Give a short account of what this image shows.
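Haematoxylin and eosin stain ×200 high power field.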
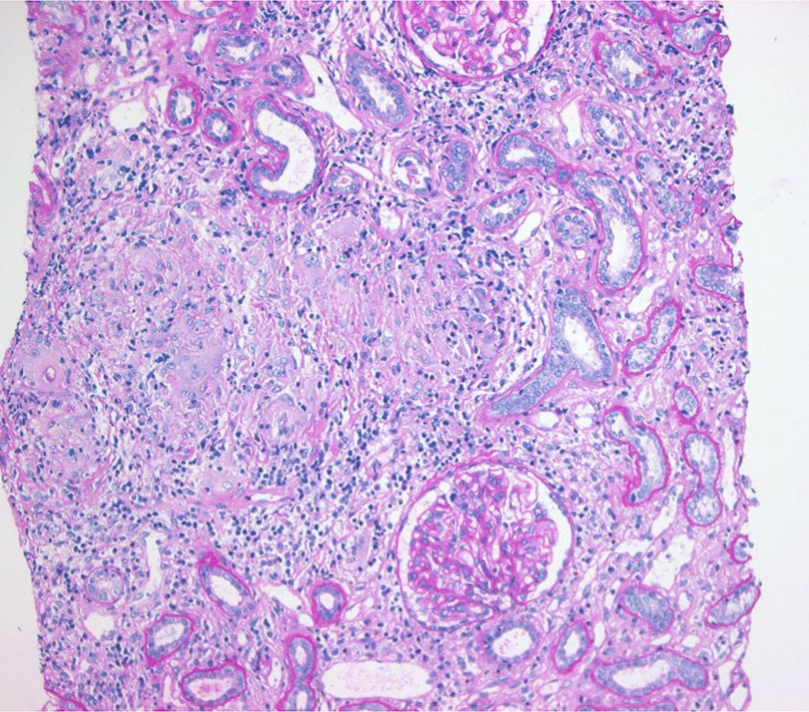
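A strip of tissue with round glomerular tufts and many tubules, whose walls are outlined by bright magenta membranes and lined by cuboidal cells with dark round nuclei. Between the tubules the interstitium is crowded with small dark round nuclei of inflammatory cells. Toward the left centre lies a large pale pink aggregate of cells with abundant pale cytoplasm and pale oval to elongated nuclei, merging into one another, and surrounded by the dense rim of small dark cells. No cell-free central debris is seen within it. This is a cluster of epithelioid histiocytes, a granuloma without necrosis, amid an inflammatory infiltrate.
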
